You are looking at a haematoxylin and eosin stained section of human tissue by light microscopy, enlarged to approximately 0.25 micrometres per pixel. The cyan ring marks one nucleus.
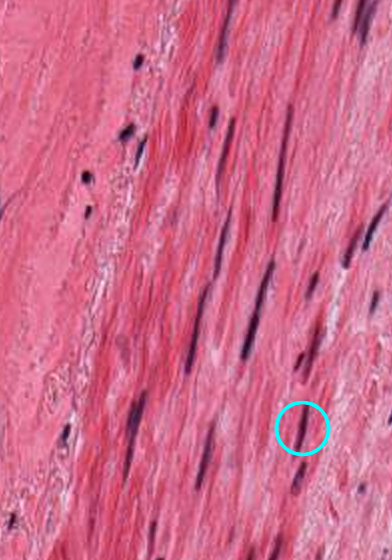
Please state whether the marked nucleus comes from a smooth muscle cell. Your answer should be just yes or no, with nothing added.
yes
